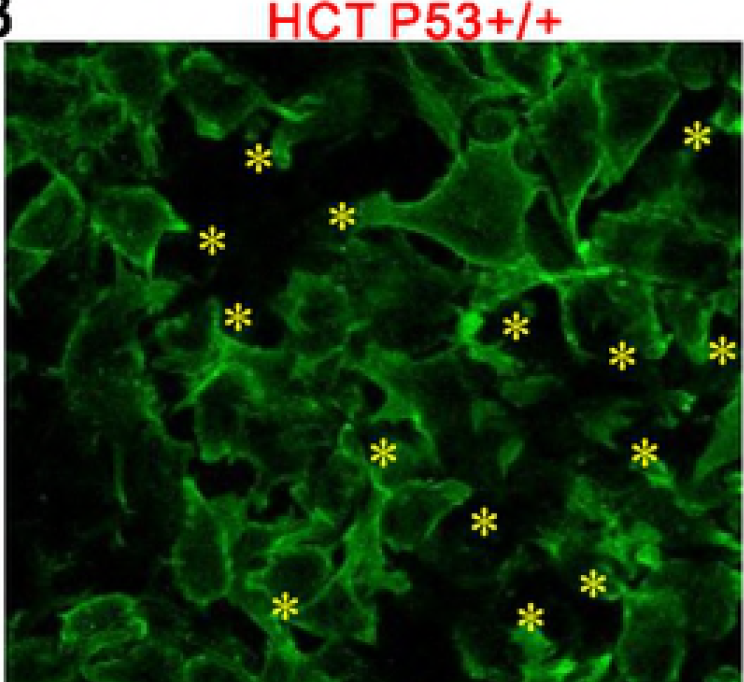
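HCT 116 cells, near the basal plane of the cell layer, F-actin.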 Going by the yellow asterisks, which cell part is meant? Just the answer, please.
Cryptic lamellipodia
